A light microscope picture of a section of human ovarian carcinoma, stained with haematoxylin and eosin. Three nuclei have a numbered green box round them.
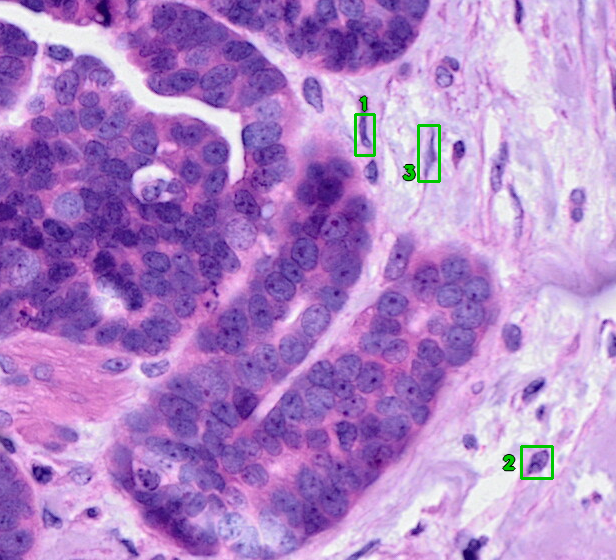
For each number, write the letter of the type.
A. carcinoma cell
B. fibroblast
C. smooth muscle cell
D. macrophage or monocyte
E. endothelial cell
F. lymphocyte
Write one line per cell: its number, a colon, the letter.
1: B
2: D
3: B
